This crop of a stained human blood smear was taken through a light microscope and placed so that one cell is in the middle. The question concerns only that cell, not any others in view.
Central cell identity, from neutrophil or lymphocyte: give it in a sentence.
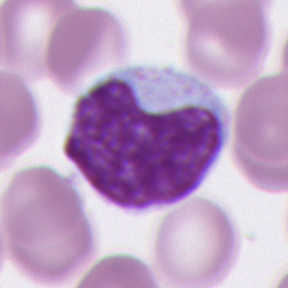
In the centre of this crop there is a lymphocyte.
